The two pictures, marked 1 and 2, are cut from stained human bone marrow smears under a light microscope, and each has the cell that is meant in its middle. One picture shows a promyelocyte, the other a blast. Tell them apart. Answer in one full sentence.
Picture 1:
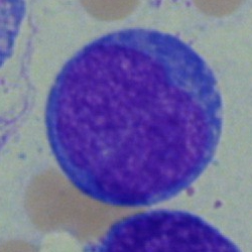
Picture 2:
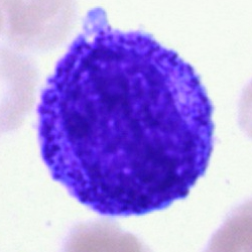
Picture 1 is of a blast, and picture 2 is of a promyelocyte.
